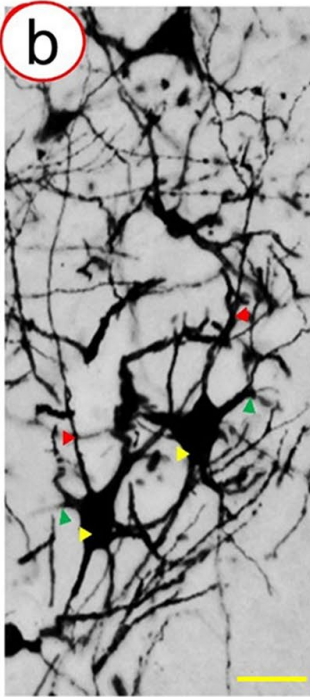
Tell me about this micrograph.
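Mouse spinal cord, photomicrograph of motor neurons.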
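Two large cell bodies sit in the lower middle of the field, each angular and many-sided, with no nuclear detail visible because the stain fills the cell completely. From each cell body several thick processes leave in different directions, tapering and branching as they go; these are the dendrites. Longer, thinner fibres of even calibre run through the field for long distances, the kind of profile an axon gives. Around these cells a dense tangle of fine dark fibres from neighbouring cells fills the background, and other partly stained cell bodies can be seen at the top of the field.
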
